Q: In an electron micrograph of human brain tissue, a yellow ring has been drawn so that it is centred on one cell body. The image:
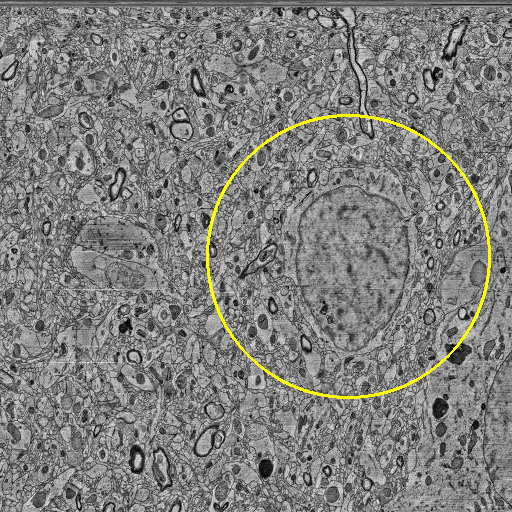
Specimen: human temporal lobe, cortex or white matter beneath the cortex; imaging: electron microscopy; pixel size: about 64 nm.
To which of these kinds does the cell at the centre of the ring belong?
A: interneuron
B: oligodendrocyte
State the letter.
A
